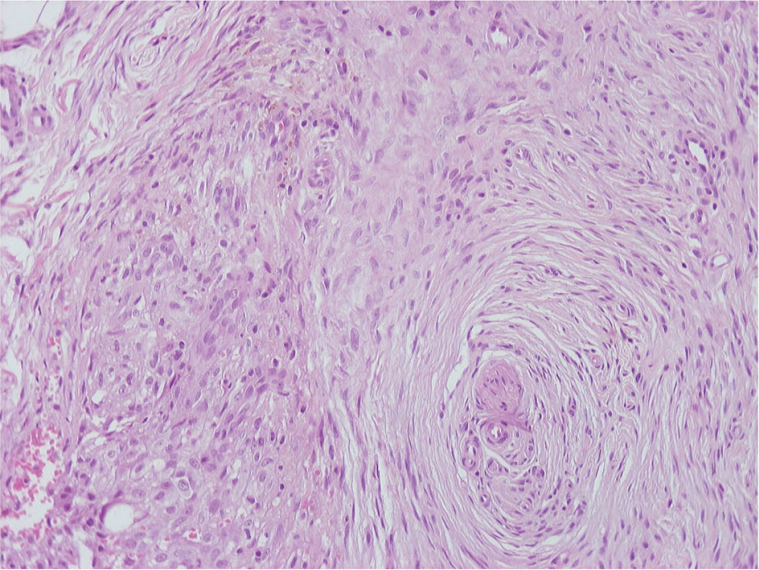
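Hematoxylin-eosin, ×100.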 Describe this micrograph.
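This lower-power field of a tumour shows elongated neoplastic cells with slender spindle nuclei and pale pink cytoplasm. One prominent whorl on the right has concentric layers of spindle cells wrapped around a small central cluster. Between the bundles are looser areas with plumper, ovoid cells, and a little red blood lies at the left edge.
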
